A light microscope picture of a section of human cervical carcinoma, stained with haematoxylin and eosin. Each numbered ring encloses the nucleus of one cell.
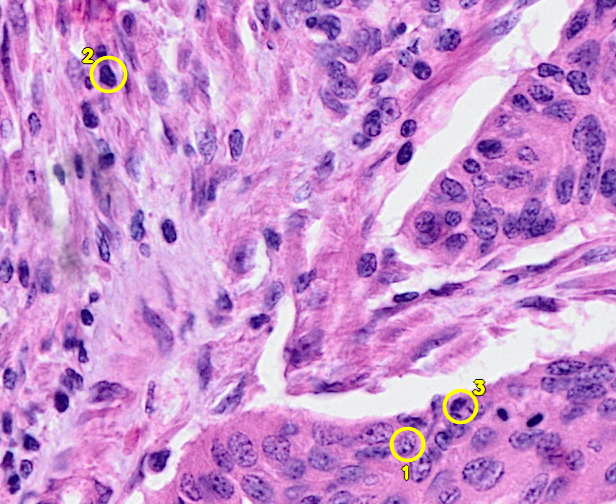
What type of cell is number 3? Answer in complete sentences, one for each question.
The cell bearing label 3 corresponds to a squamous carcinoma cell.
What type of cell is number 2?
Here the cell numbered 2 is a lymphocyte.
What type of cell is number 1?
Cell 1 in the field is a squamous carcinoma cell.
